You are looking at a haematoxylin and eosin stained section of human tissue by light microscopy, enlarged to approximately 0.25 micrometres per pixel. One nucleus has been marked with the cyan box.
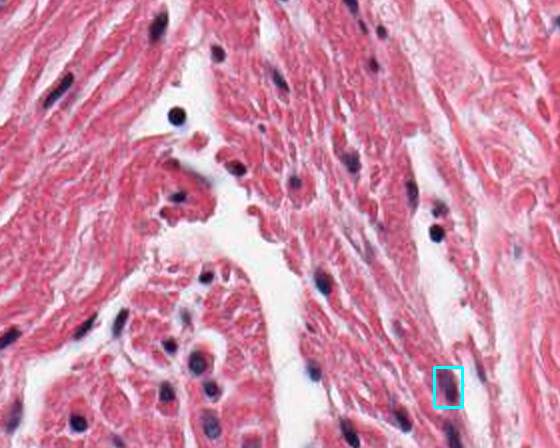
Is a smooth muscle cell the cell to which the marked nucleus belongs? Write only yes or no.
yes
